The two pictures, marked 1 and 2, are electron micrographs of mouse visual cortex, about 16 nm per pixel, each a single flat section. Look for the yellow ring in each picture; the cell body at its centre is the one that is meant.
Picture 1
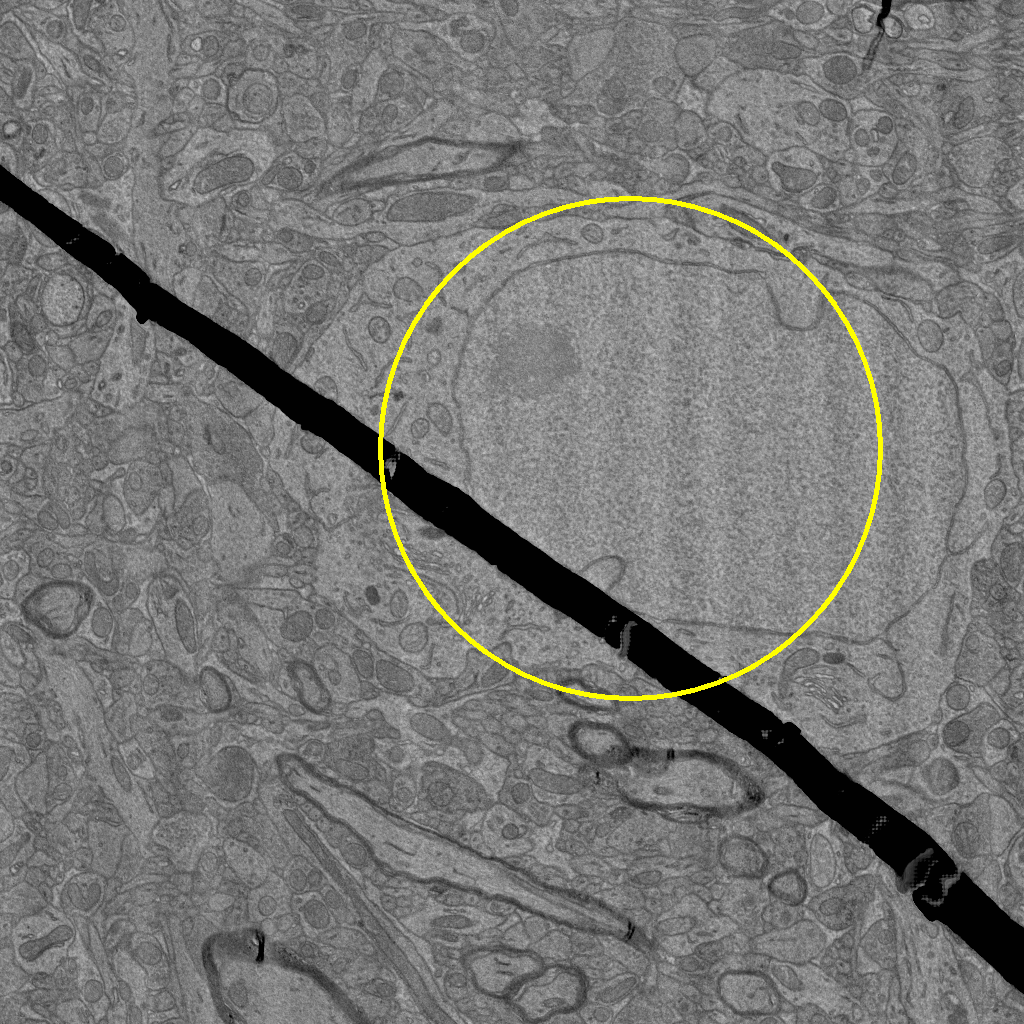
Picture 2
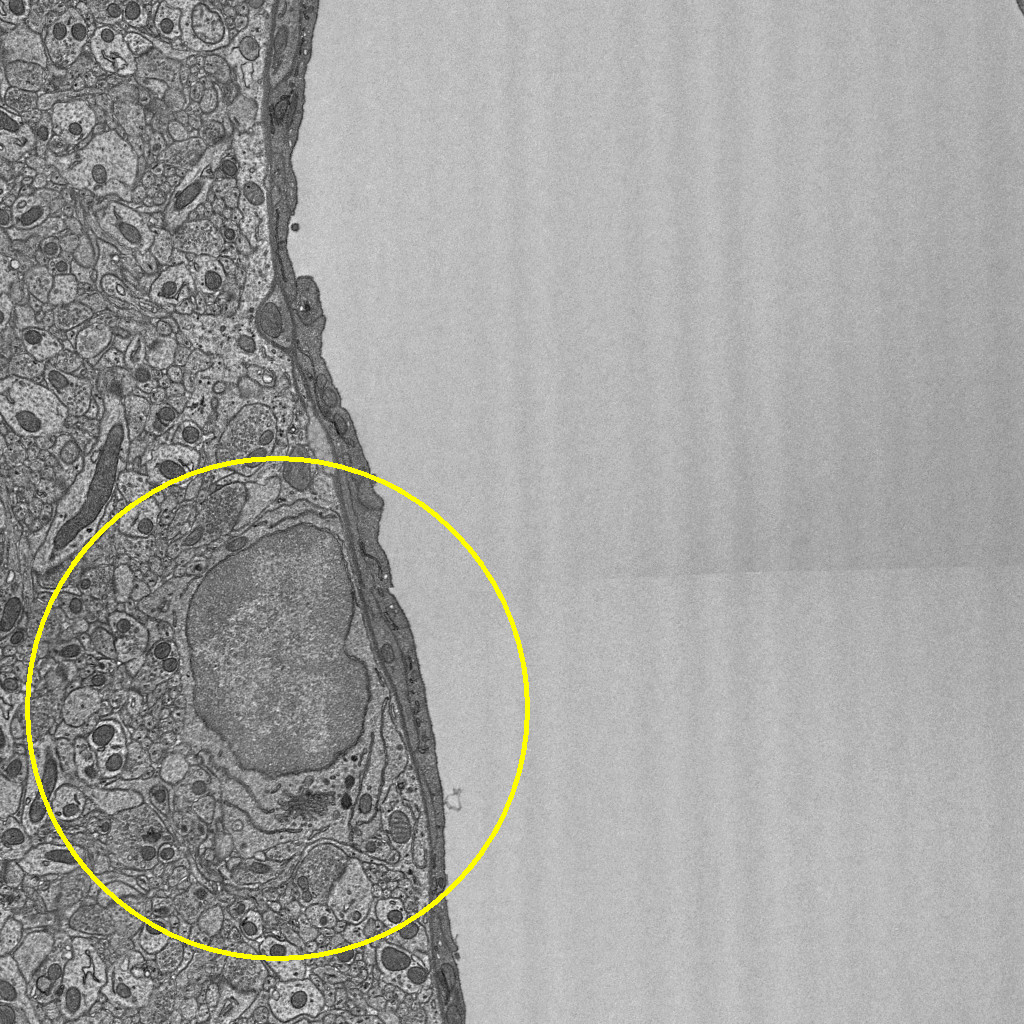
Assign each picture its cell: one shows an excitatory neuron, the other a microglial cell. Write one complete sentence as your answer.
It is picture 1 that shows an excitatory neuron, and picture 2 that shows a microglial cell.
